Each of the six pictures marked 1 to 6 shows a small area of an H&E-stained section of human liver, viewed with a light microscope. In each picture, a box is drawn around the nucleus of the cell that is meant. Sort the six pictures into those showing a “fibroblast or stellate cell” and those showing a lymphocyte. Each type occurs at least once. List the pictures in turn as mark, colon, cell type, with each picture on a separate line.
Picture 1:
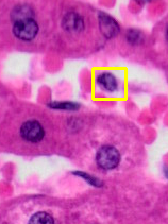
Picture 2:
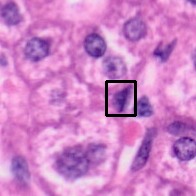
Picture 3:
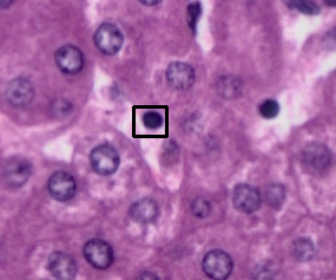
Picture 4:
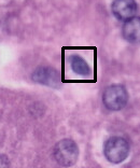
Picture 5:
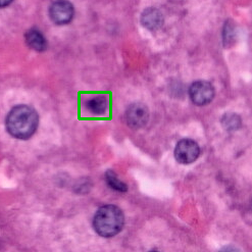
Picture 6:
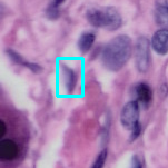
1: lymphocyte
2: fibroblast or stellate cell
3: lymphocyte
4: lymphocyte
5: fibroblast or stellate cell
6: fibroblast or stellate cell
